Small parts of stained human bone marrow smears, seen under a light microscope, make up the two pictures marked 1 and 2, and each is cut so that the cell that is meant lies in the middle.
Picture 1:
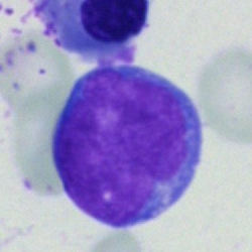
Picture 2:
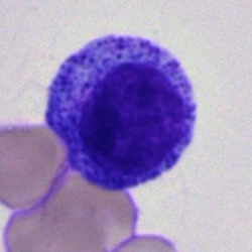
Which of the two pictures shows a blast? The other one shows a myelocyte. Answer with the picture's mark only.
1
